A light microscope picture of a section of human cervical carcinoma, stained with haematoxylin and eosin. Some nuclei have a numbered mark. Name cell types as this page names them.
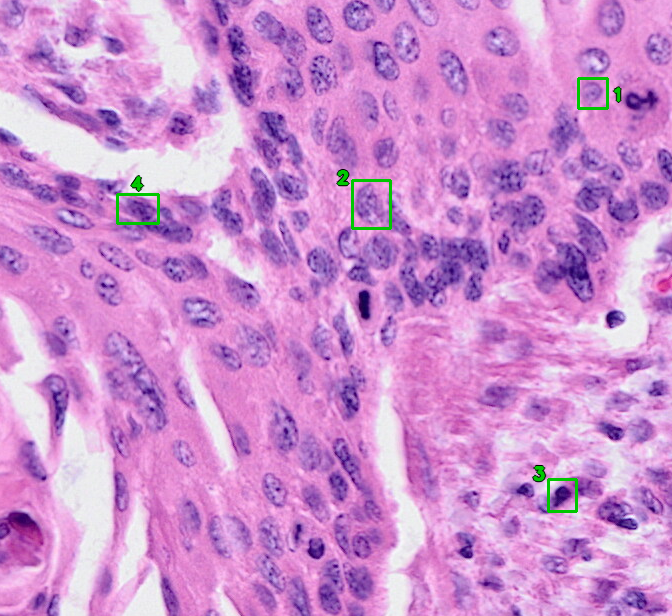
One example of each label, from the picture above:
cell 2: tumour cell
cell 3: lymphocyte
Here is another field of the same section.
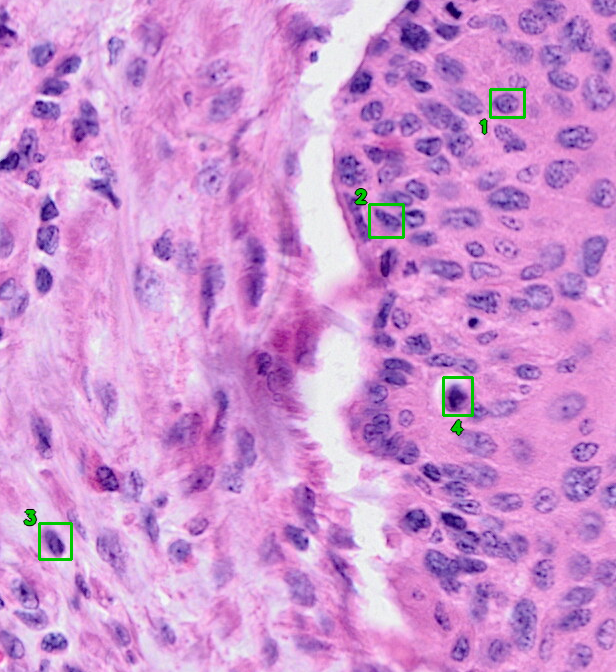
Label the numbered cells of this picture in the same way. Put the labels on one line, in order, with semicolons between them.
tumour cell; tumour cell; lymphocyte; tumour cell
